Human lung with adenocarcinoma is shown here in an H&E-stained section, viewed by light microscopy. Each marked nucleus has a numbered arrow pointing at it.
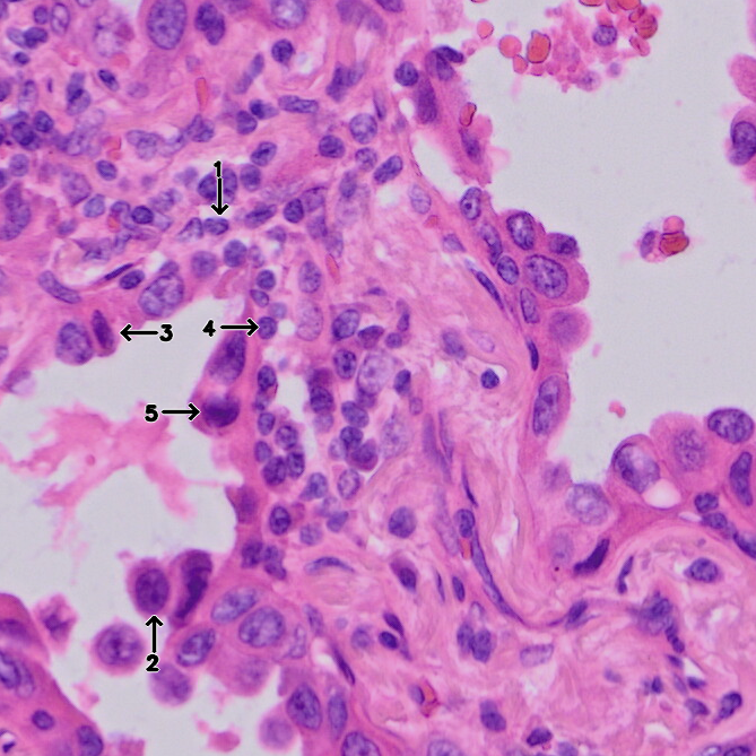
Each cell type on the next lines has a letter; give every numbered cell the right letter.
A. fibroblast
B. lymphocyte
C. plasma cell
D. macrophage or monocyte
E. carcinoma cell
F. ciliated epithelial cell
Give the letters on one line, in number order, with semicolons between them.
B; E; E; B; E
